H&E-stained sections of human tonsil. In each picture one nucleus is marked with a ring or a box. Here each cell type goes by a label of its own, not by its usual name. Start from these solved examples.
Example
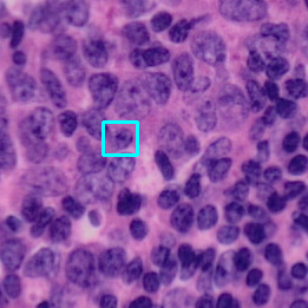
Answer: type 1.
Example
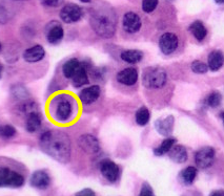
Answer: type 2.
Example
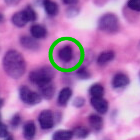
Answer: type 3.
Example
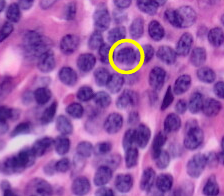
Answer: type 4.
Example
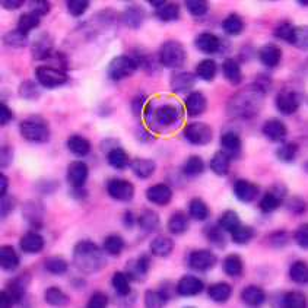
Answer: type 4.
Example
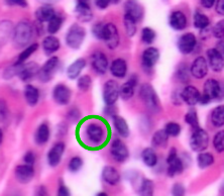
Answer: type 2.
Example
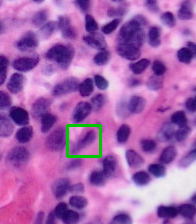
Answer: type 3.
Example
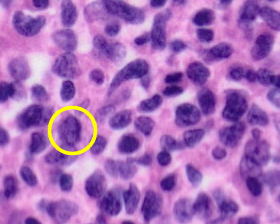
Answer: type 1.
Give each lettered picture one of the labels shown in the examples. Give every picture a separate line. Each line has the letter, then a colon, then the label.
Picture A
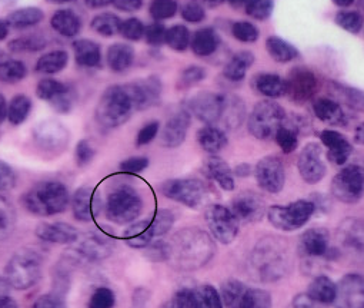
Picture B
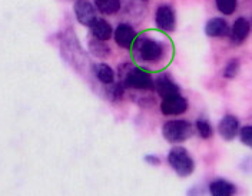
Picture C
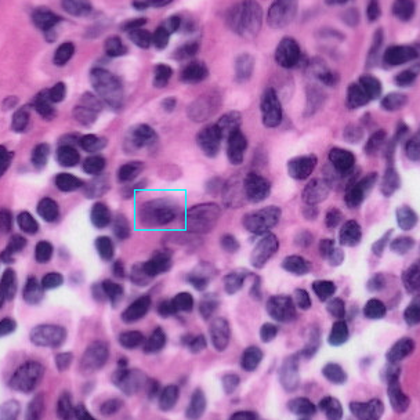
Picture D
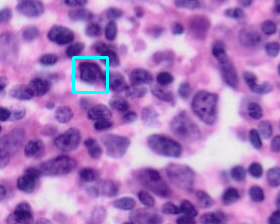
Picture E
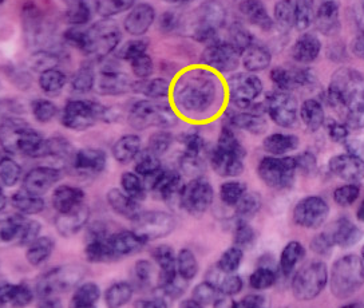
A: type 1.
B: type 4.
C: type 3.
D: type 1.
E: type 1.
